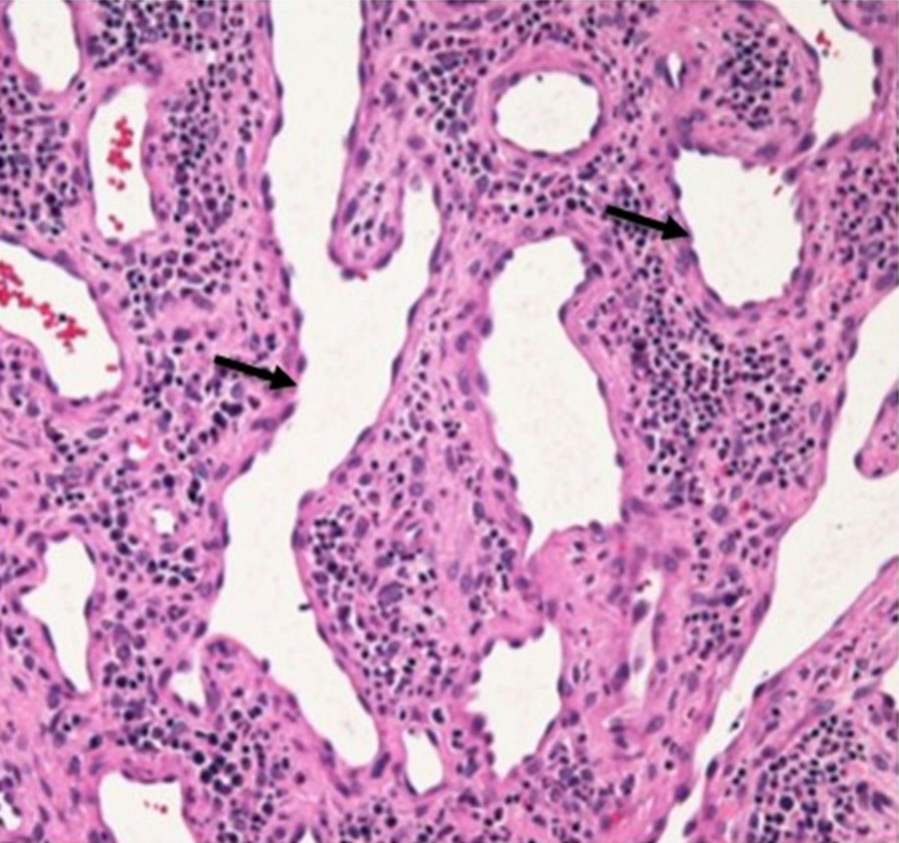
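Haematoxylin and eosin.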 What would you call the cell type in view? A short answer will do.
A: inflammatory cells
